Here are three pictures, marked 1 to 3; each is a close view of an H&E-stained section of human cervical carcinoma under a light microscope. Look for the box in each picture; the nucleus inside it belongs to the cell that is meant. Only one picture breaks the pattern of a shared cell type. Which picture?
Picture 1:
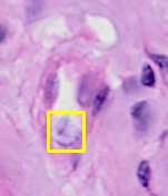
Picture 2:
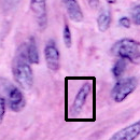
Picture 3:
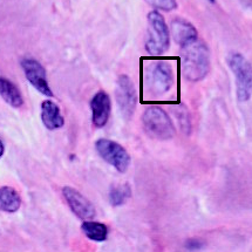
2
